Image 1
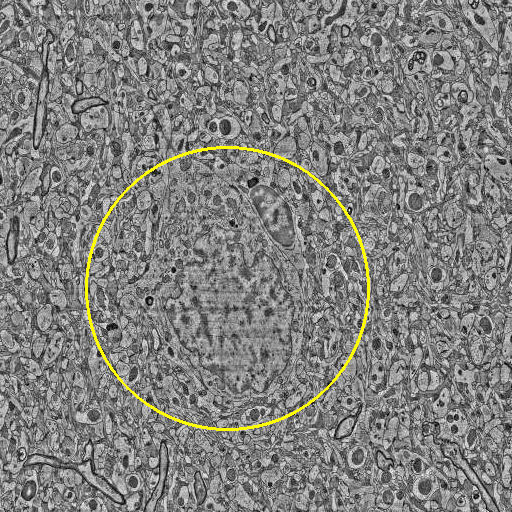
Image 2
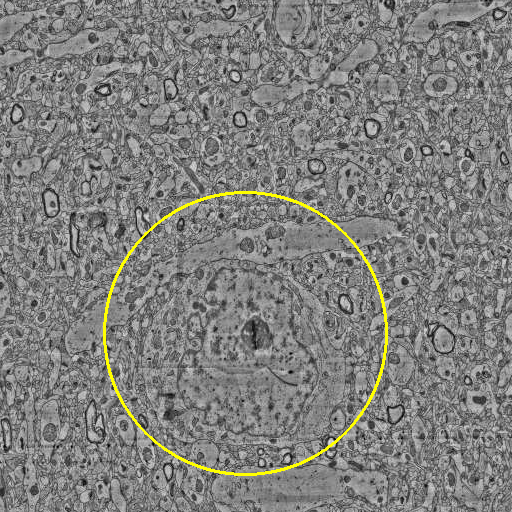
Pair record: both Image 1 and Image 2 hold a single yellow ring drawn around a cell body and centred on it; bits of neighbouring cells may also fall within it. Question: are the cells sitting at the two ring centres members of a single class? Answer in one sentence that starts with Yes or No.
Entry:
Yes, both ring-centre cells in Image 1 and Image 2 are members of one class.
